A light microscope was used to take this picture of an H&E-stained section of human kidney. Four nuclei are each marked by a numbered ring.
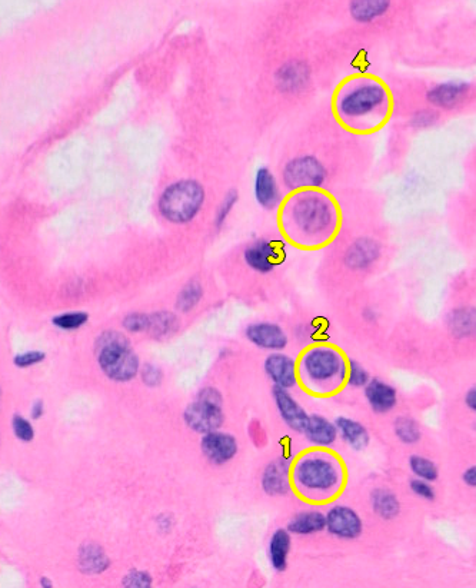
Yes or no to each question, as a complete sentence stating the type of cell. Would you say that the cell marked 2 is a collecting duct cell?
Yes, number 2 corresponds to a collecting duct cell.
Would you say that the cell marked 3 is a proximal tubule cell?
Yes, the marked cell with number 3 is a proximal tubule cell.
